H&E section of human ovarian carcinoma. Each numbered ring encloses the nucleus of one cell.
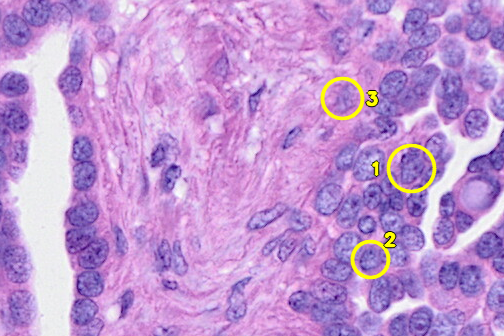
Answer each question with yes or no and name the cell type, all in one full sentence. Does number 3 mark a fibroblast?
Yes, the cell sitting at number 3 is a fibroblast.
